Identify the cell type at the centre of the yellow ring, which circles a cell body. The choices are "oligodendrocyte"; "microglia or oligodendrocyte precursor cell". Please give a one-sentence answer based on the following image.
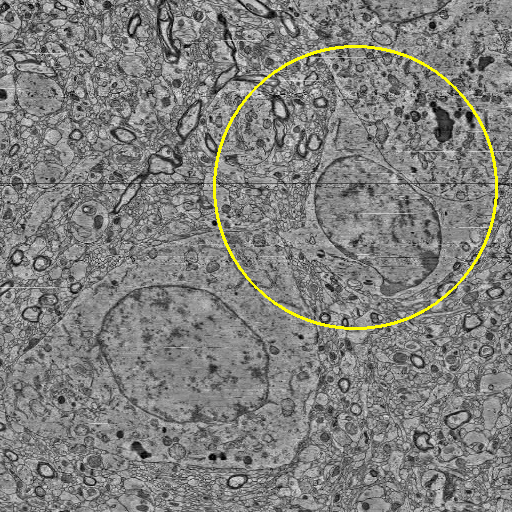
The cell marked by the ring is a microglial cell or oligodendrocyte precursor cell.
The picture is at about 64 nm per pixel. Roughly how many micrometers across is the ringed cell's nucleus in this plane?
Approximately 10 micrometres long and 7 micrometres wide, in this plane.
